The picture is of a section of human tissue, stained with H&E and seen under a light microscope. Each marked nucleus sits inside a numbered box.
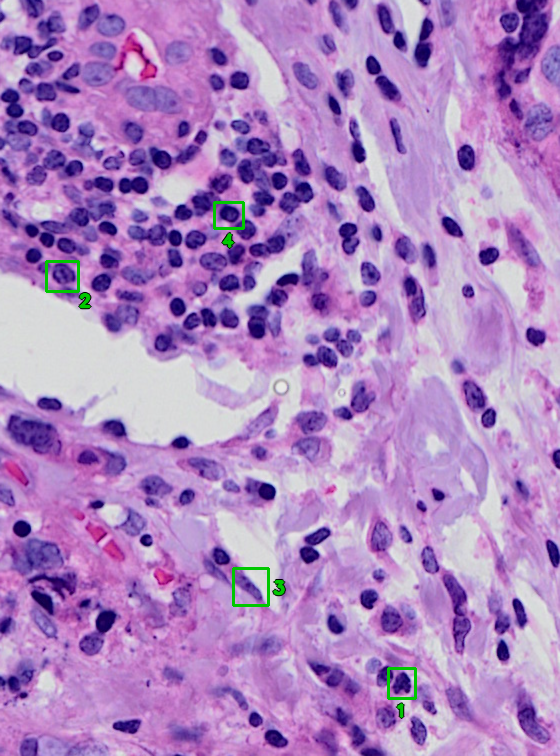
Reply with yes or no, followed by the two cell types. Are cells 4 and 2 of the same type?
Yes, both are lymphocytes.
